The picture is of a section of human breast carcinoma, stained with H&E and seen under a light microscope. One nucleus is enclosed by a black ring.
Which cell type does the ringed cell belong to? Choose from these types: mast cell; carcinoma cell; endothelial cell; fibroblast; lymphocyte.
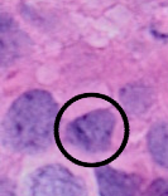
carcinoma cell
